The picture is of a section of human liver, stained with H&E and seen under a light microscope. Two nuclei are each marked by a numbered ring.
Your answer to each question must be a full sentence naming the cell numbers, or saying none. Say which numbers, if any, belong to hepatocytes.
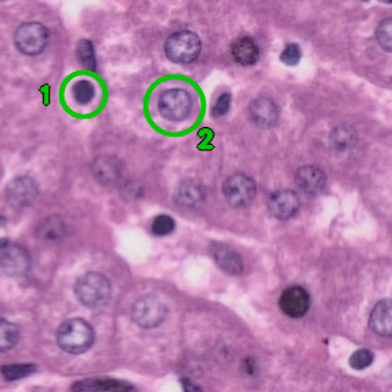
Exactly one of the numbered cells is a hepatocyte, namely cell 2.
